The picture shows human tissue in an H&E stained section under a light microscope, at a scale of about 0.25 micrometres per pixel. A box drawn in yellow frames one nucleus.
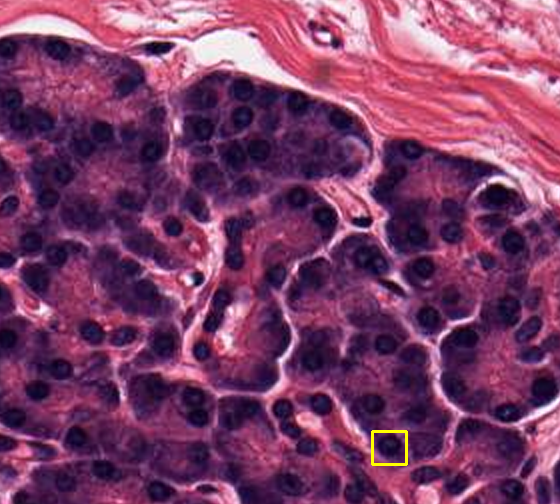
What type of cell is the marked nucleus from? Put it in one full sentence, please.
The nucleus indicated by the mark belongs to a pancreatic acinar cell.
